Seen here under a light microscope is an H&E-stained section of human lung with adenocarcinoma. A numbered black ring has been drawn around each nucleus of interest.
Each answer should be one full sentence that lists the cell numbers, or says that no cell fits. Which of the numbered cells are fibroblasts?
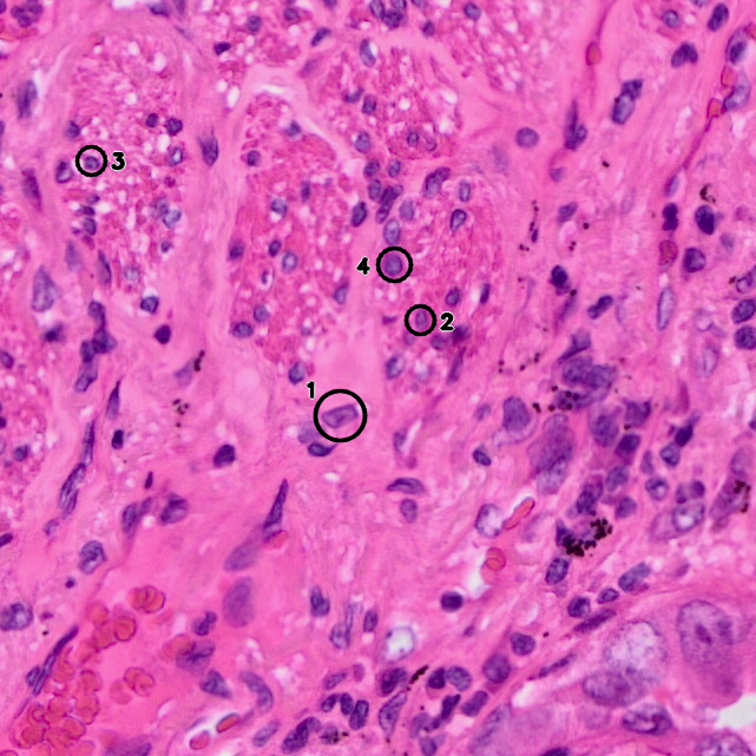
Only one marked cell, number 1, is a fibroblast.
